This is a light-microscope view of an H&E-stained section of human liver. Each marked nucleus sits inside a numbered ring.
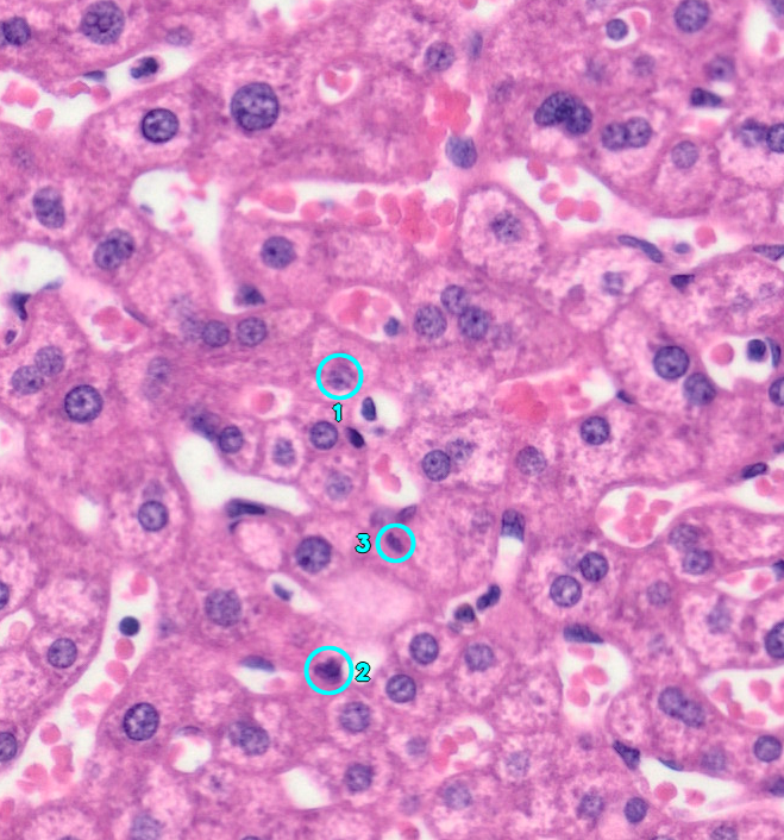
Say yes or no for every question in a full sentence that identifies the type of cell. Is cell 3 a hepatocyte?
No, cell number 3 is identified as a fibroblast or stellate cell, not as a hepatocyte.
